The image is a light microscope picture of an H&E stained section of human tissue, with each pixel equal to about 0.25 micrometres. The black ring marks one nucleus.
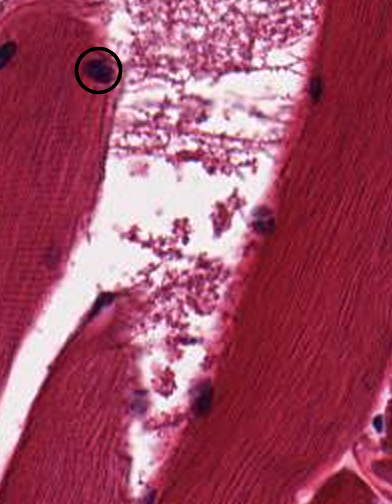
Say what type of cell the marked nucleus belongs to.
skeletal muscle fibre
